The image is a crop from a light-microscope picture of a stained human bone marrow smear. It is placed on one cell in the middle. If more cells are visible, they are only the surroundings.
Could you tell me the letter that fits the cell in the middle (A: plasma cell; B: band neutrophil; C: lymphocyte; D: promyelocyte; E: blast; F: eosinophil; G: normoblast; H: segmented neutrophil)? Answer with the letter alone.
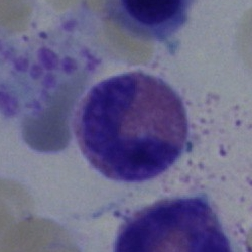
F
